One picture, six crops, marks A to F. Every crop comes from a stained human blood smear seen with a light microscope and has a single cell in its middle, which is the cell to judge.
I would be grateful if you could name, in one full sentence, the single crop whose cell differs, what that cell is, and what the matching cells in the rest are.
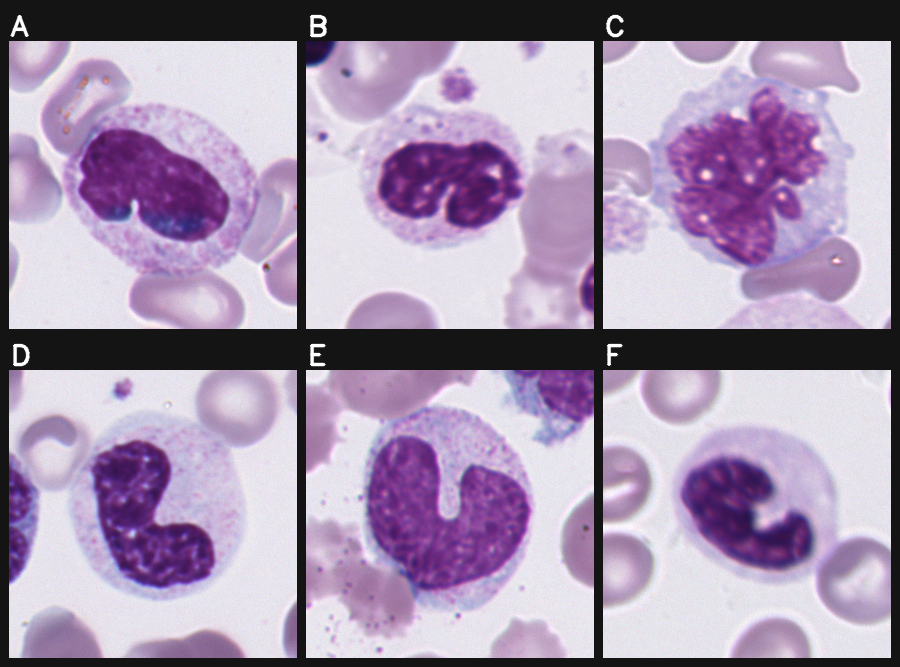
Crop C shows a monocyte; by contrast, all the other crops show band neutrophils.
